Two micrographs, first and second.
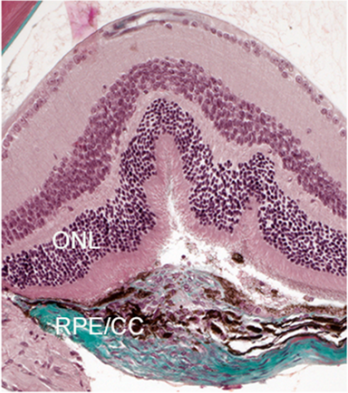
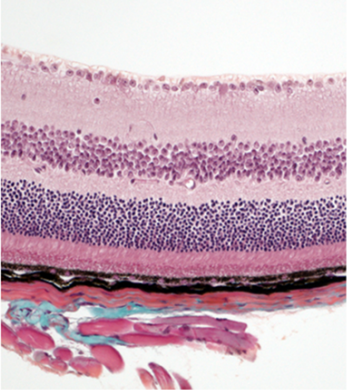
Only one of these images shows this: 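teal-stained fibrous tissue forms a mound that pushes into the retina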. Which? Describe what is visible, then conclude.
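The first image. Second image: the retinal layers run flat and teal appears only in a thin outer band. First image: a pigmented, teal-rich mound bulges inward and folds the retinal layers above it.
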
